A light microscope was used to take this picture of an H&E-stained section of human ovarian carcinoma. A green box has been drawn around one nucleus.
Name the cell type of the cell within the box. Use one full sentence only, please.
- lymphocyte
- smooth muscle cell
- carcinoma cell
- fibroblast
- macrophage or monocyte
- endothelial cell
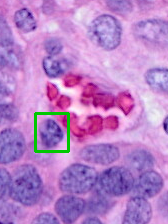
So far as cell type goes, the cell within the box is a macrophage or monocyte.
